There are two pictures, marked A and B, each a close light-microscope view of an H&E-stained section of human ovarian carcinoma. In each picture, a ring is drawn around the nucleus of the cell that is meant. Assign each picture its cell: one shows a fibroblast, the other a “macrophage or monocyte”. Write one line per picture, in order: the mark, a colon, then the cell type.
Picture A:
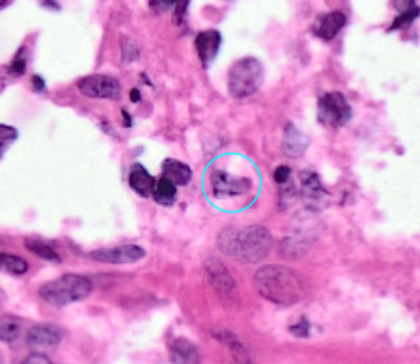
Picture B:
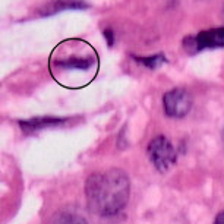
A: macrophage or monocyte
B: fibroblast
